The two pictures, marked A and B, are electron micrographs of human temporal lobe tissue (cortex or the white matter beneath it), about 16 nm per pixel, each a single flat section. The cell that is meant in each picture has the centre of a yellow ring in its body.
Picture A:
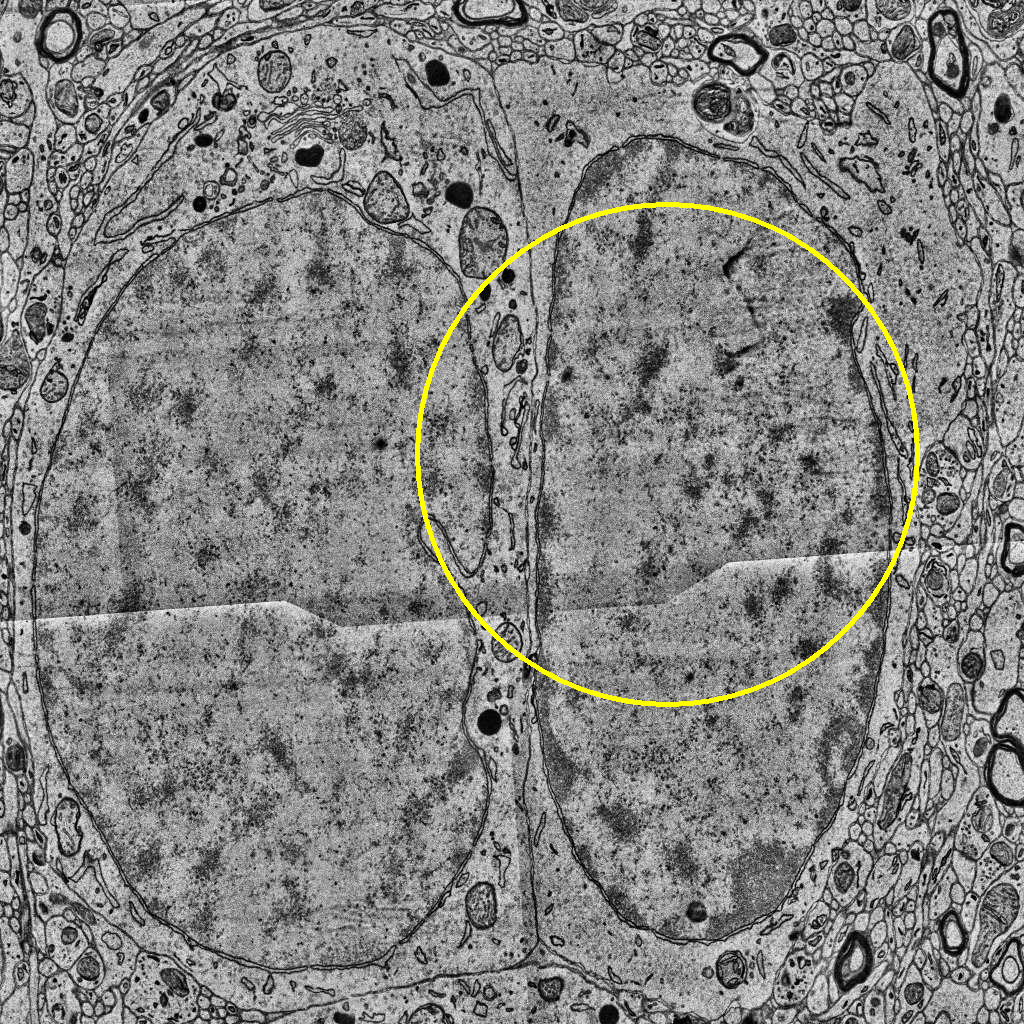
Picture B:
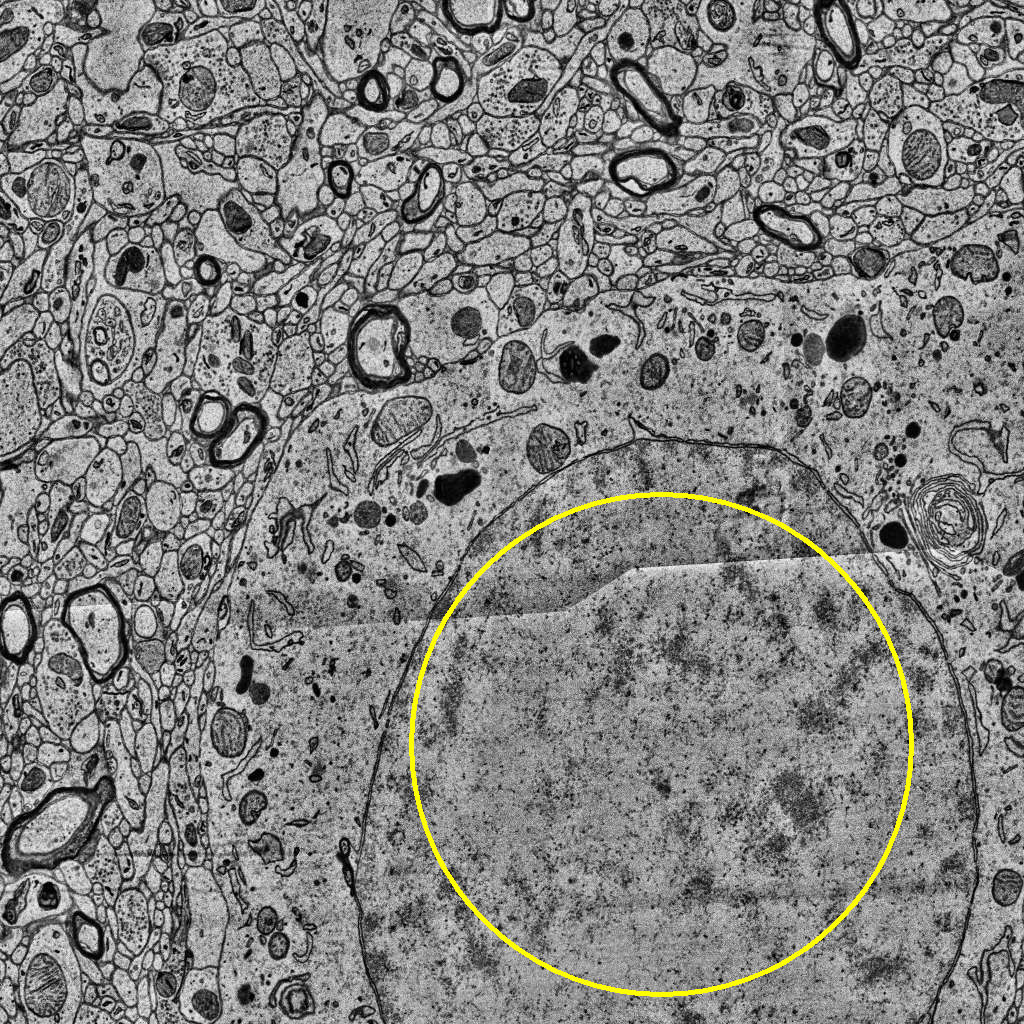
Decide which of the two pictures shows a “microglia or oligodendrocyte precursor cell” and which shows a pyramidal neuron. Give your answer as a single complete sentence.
It is picture A that shows a “microglia or oligodendrocyte precursor cell”, and picture B that shows a pyramidal neuron.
